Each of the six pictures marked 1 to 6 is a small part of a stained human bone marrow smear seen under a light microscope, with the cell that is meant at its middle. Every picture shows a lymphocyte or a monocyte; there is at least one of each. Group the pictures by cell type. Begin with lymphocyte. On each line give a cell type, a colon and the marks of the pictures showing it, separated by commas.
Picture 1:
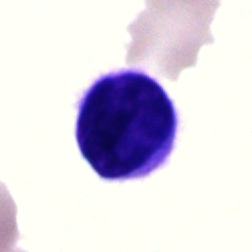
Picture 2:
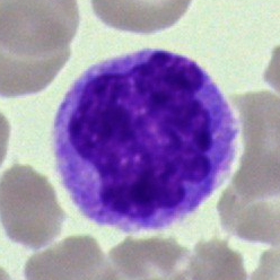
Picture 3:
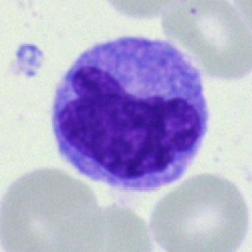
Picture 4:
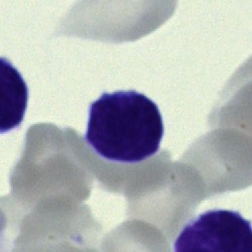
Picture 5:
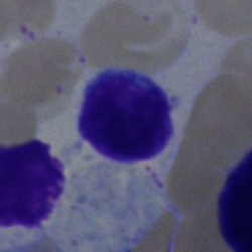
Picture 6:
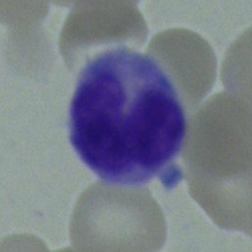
lymphocyte: 1, 4, 5
monocyte: 2, 3, 6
